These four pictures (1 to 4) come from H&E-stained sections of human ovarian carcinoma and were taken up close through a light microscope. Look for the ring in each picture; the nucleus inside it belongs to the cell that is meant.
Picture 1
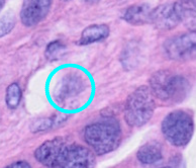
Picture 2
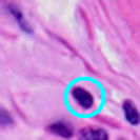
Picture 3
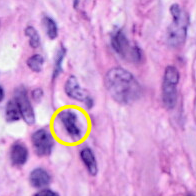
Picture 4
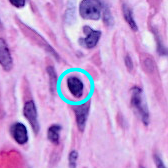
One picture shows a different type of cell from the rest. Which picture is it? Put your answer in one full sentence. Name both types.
Picture 1 differs, because its cell is a fibroblast and the rest are lymphocytes.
